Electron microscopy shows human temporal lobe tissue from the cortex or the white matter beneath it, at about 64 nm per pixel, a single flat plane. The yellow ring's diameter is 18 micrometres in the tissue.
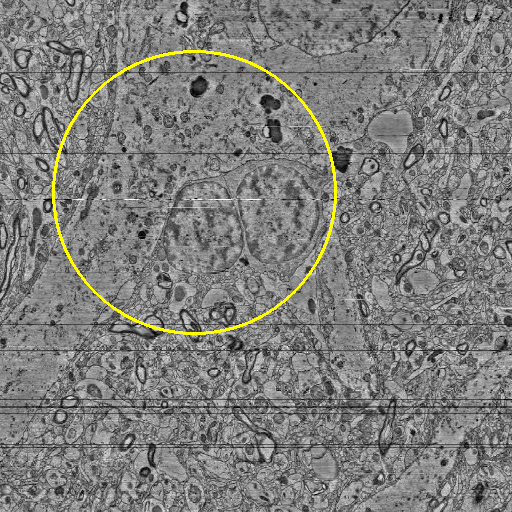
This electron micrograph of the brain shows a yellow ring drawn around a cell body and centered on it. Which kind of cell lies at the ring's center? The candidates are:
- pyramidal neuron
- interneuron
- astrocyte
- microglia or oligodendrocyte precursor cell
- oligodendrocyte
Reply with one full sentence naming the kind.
The cell lying at the ring's center in this micrograph is an oligodendrocyte.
